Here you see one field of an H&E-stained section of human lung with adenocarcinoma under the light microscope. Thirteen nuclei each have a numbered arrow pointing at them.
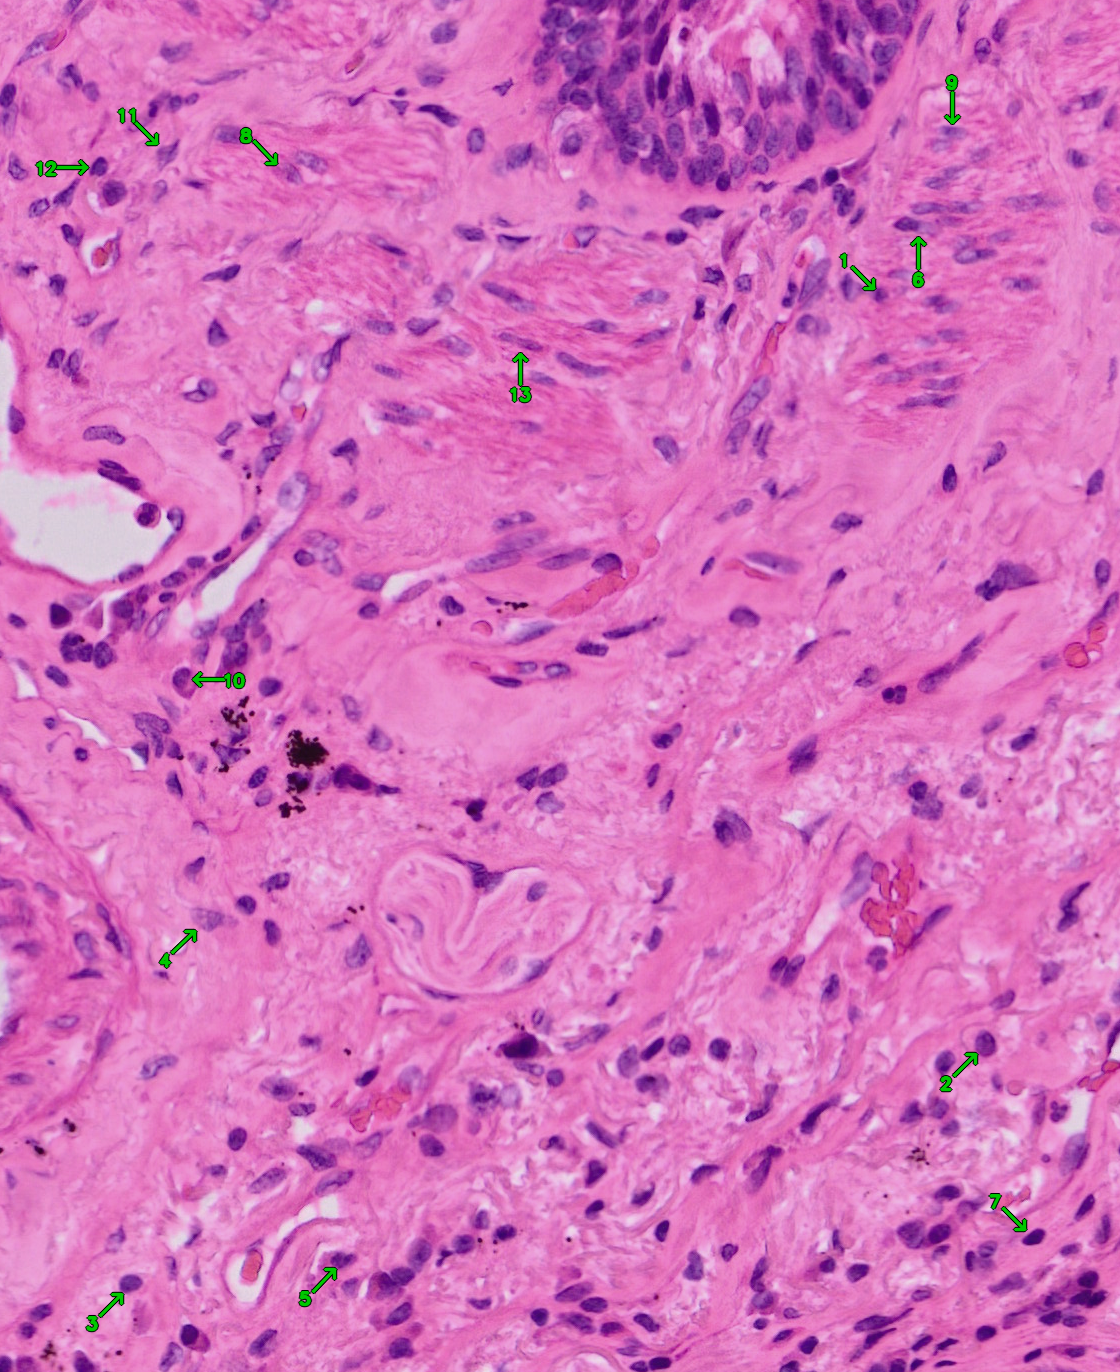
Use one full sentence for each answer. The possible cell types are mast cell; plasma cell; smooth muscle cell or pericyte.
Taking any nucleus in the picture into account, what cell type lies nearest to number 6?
The nearest nucleus to number 6 belongs to a smooth muscle cell or pericyte.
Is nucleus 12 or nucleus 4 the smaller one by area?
Number 12 is smaller, since number 4 takes up about 2 times as much area.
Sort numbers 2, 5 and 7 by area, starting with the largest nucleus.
By area, largest first, they run 2, 5, 7.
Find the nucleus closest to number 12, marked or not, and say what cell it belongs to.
The cell nearest to number 12 is a plasma cell.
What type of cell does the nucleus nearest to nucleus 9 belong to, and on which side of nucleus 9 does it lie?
The nearest nucleus is that of a smooth muscle cell or pericyte and lies below and to the left of nucleus 9.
